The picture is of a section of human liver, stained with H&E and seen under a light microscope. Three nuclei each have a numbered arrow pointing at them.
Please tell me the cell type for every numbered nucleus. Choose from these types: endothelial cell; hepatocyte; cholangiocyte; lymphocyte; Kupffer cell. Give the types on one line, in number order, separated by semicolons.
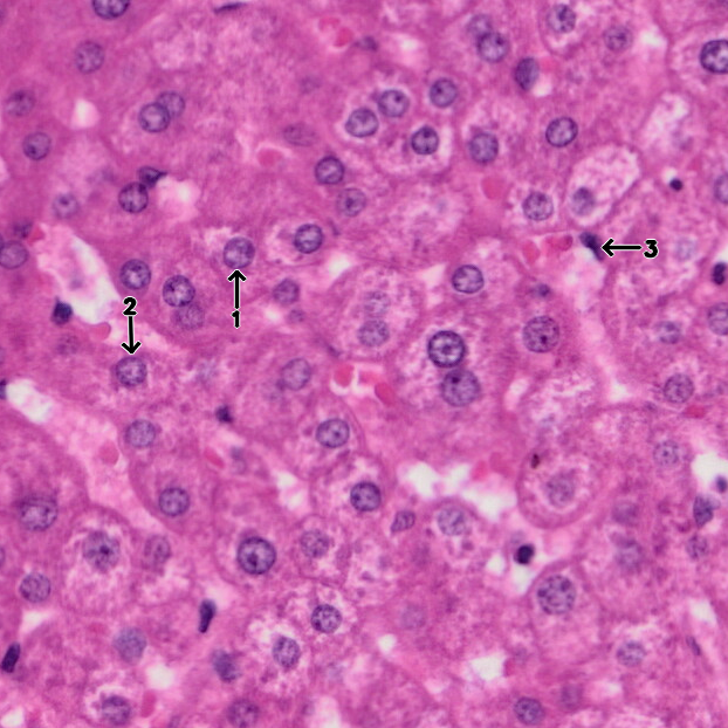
hepatocyte; hepatocyte; endothelial cell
